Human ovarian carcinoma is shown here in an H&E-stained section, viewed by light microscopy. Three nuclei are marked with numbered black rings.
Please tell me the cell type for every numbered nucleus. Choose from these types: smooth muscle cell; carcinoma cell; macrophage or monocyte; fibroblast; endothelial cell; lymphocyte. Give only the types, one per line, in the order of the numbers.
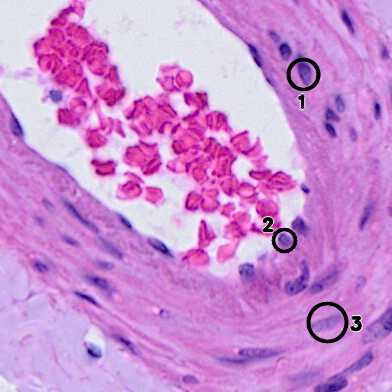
smooth muscle cell
endothelial cell
smooth muscle cell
